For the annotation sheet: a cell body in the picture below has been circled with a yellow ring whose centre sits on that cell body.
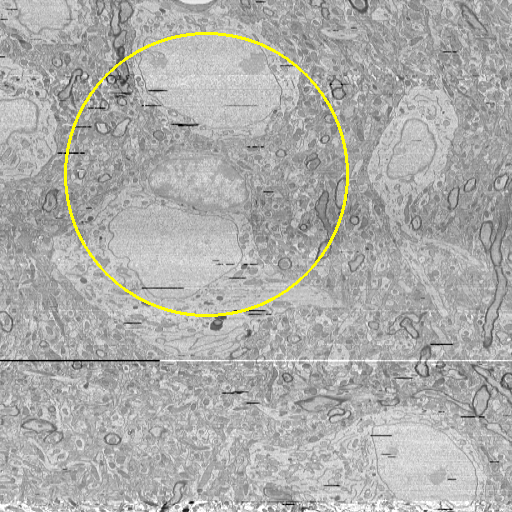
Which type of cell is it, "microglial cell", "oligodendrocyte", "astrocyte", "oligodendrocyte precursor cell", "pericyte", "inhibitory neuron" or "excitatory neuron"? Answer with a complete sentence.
The circled cell is an oligodendrocyte.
